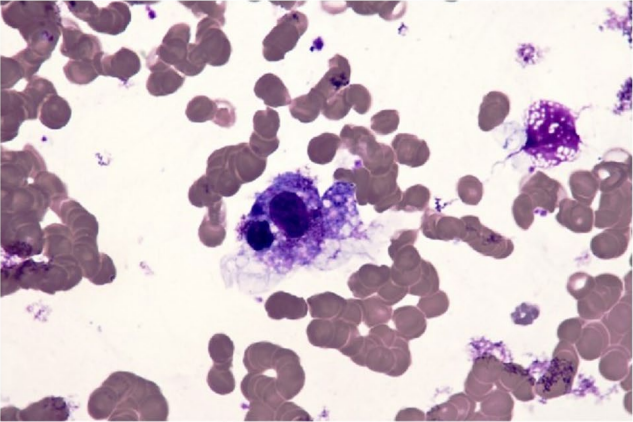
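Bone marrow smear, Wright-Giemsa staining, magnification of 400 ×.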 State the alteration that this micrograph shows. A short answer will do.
Hemophagocytosis.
